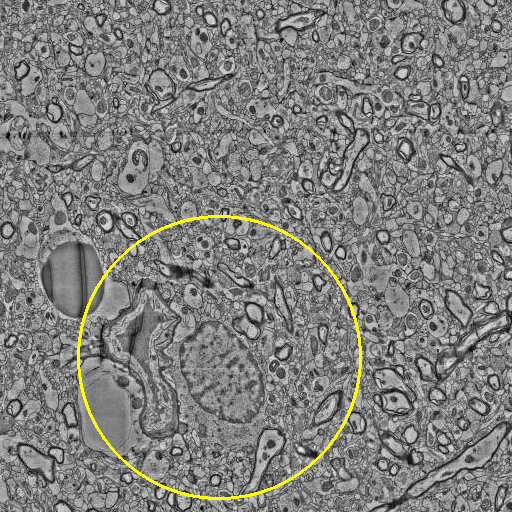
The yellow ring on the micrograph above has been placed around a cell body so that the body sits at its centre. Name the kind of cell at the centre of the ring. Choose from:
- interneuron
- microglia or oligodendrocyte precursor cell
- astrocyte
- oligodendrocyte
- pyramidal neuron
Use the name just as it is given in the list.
oligodendrocyte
